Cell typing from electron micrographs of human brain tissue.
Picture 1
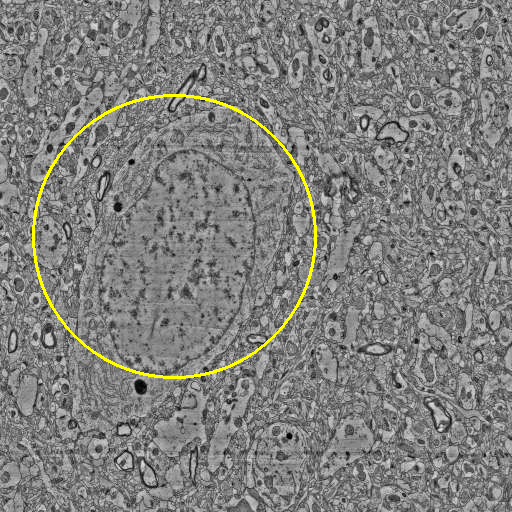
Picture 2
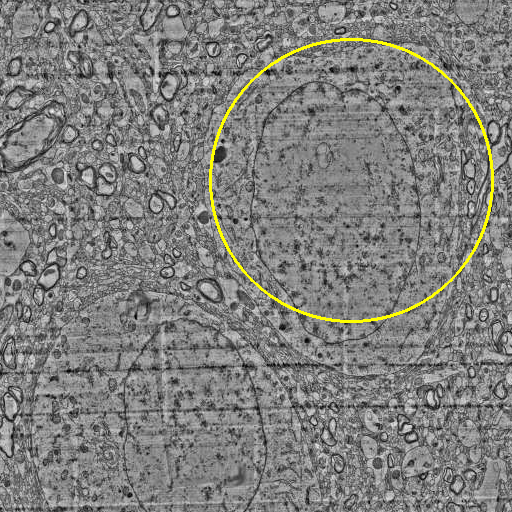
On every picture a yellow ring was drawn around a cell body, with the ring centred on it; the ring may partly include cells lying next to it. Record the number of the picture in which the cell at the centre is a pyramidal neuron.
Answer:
2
